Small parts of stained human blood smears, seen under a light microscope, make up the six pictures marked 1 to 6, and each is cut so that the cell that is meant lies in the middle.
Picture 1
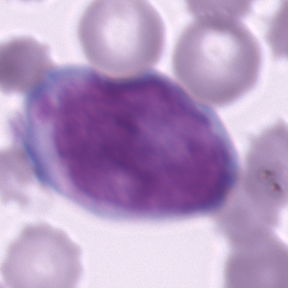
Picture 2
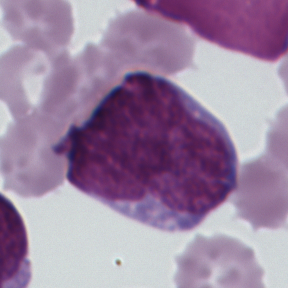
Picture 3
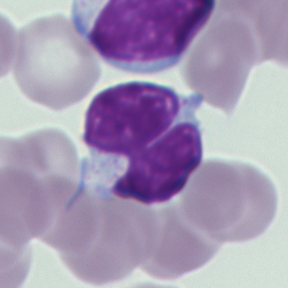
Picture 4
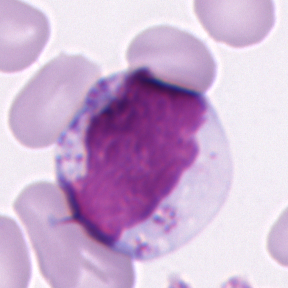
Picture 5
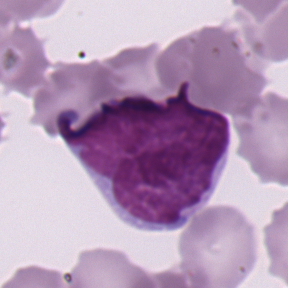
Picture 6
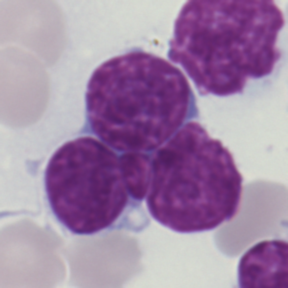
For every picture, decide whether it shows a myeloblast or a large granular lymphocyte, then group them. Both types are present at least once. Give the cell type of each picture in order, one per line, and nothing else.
myeloblast
myeloblast
large granular lymphocyte
large granular lymphocyte
myeloblast
myeloblast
